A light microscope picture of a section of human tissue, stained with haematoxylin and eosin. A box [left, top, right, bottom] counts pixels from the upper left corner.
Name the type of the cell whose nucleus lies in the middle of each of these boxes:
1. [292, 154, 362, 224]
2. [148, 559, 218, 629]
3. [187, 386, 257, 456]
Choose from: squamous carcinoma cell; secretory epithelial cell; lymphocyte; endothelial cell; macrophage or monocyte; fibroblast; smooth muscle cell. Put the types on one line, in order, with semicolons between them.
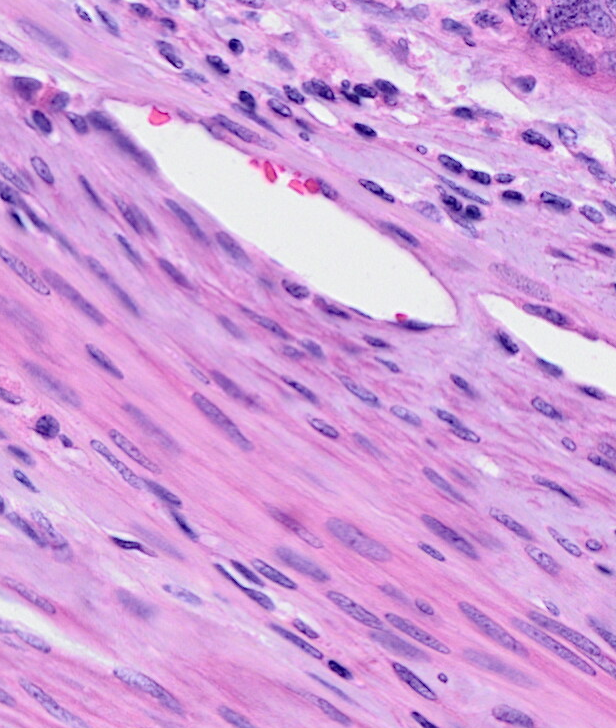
endothelial cell; fibroblast; smooth muscle cell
